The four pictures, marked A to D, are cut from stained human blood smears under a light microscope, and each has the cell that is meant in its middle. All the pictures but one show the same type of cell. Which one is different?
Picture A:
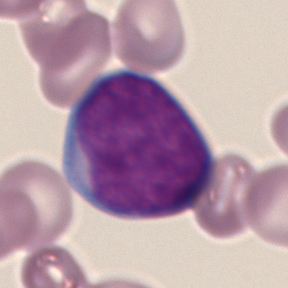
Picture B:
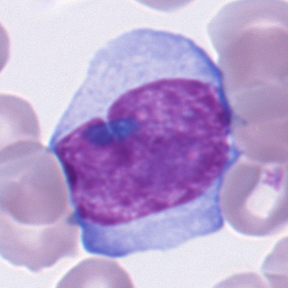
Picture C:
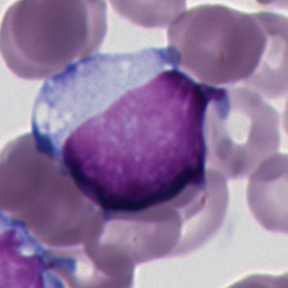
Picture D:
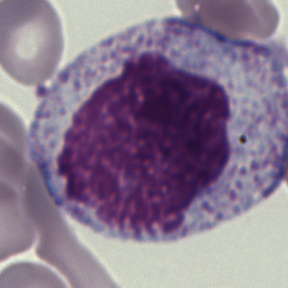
D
